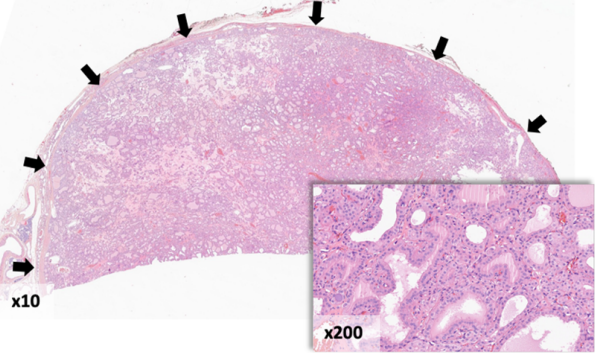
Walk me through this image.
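This is a thyroid nodule seen at low power: a rounded, well-delimited mass of densely packed follicles, stained pink and purple. The arrows along its curved outer edge mark a thin band that encloses the nodule, and the follicles stay inside it. The follicle lumens hold pale pink colloid, and some lumens are fairly large and irregular in outline.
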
